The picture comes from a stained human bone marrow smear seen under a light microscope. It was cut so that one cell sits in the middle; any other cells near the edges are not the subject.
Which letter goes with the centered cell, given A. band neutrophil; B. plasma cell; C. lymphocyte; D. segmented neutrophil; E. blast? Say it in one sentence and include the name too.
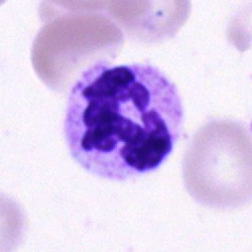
Located in the middle of the crop is a segmented neutrophil, and option D is therefore correct.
